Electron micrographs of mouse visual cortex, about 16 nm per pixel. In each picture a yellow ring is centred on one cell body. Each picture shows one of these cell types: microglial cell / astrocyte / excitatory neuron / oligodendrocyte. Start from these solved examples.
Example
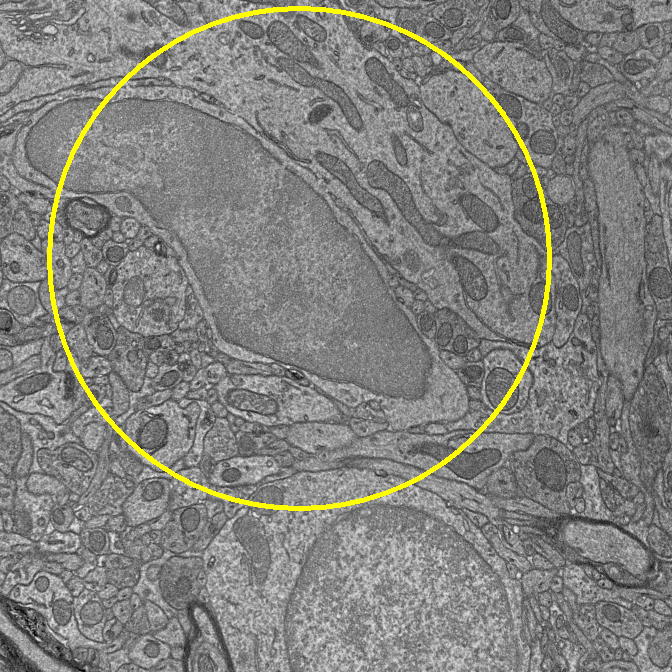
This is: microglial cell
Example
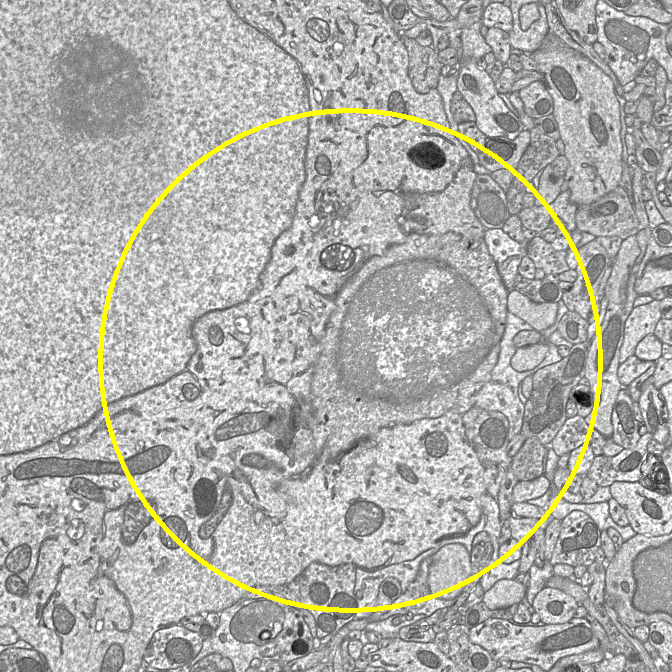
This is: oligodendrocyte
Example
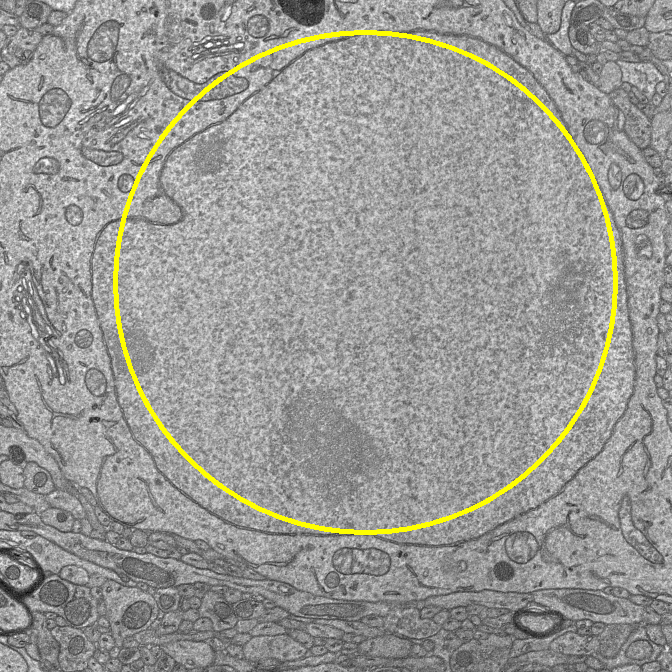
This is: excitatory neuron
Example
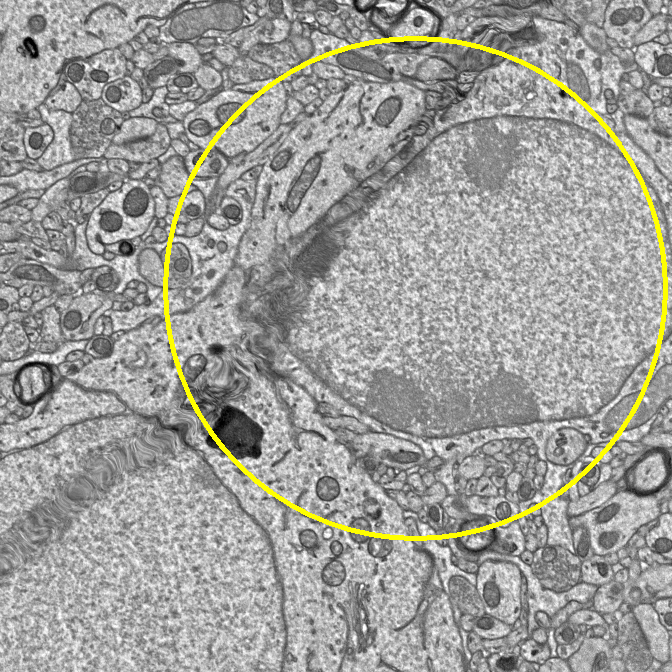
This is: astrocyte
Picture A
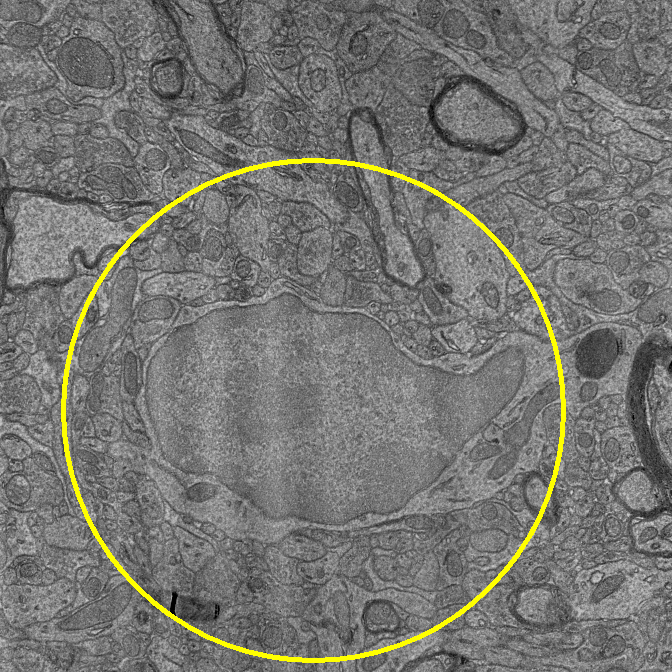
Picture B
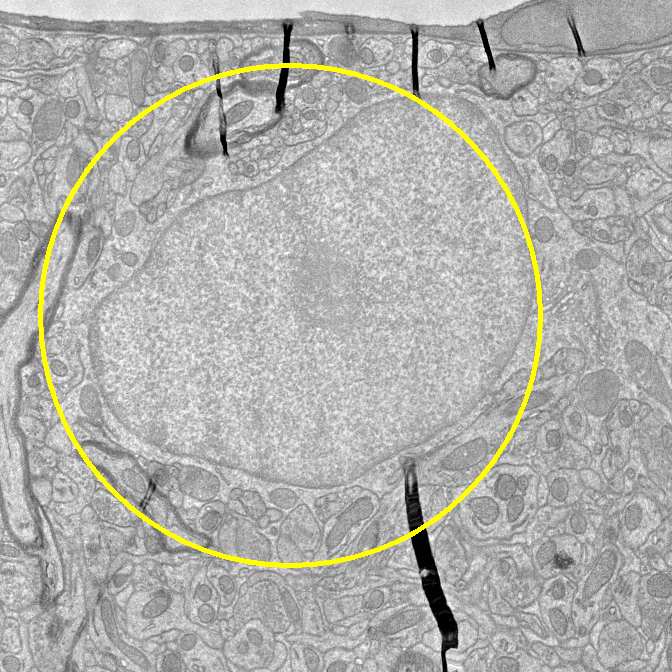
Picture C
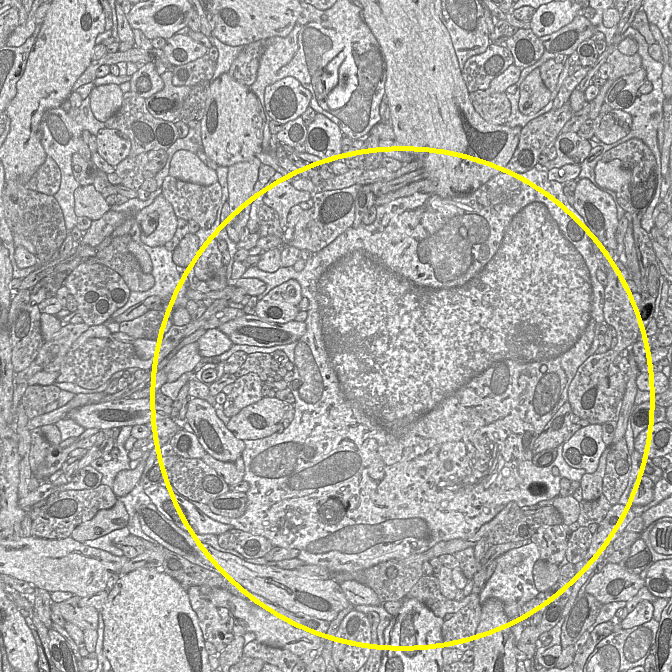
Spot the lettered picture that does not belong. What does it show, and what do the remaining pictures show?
Odd one out: A (microglial cell). The rest: astrocyte.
